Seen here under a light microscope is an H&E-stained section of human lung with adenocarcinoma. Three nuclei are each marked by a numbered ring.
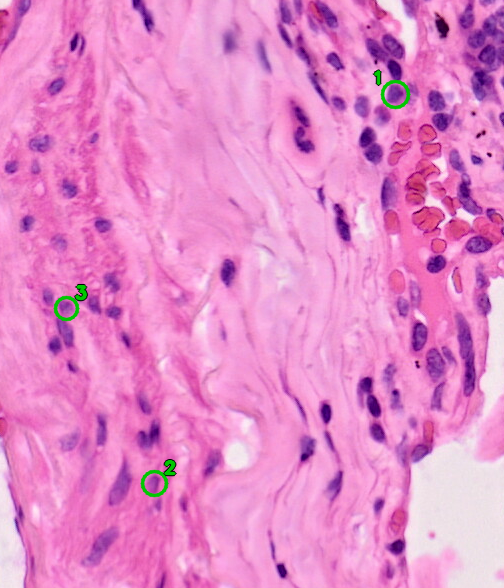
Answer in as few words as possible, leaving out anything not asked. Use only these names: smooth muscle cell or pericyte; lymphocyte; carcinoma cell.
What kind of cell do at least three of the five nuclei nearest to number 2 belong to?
smooth muscle cell or pericyte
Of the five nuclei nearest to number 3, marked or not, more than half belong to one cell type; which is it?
smooth muscle cell or pericyte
